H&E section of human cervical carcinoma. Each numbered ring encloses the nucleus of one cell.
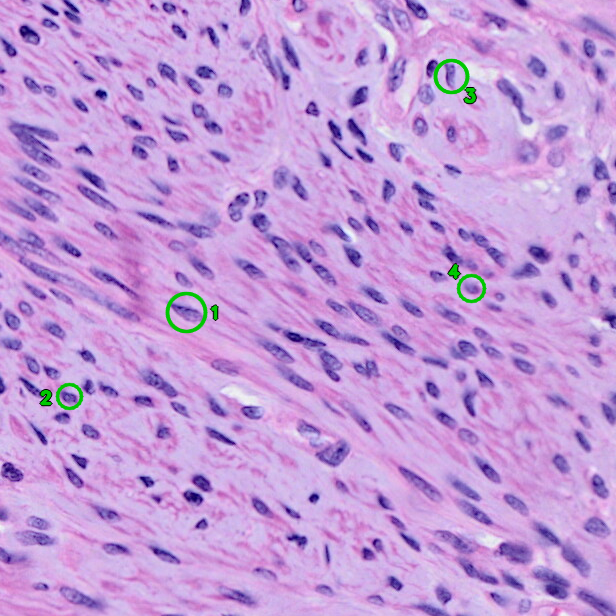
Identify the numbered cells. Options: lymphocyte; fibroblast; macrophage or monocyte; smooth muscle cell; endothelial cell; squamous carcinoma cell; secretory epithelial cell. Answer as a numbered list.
1. smooth muscle cell
2. smooth muscle cell
3. fibroblast
4. smooth muscle cell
